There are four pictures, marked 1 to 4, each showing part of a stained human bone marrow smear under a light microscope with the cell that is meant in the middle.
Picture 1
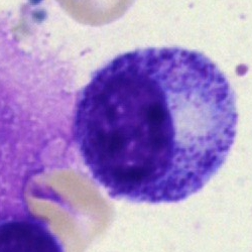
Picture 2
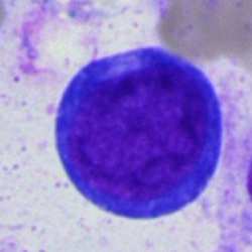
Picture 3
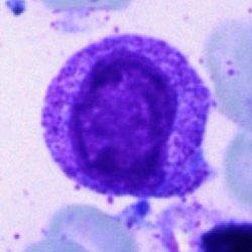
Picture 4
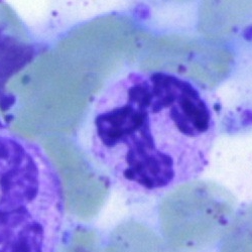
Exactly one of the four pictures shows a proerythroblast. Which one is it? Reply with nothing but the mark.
2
